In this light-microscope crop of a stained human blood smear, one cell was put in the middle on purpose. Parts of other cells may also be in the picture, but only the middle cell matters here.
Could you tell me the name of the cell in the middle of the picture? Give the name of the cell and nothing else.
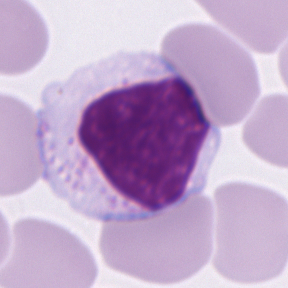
large granular lymphocyte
